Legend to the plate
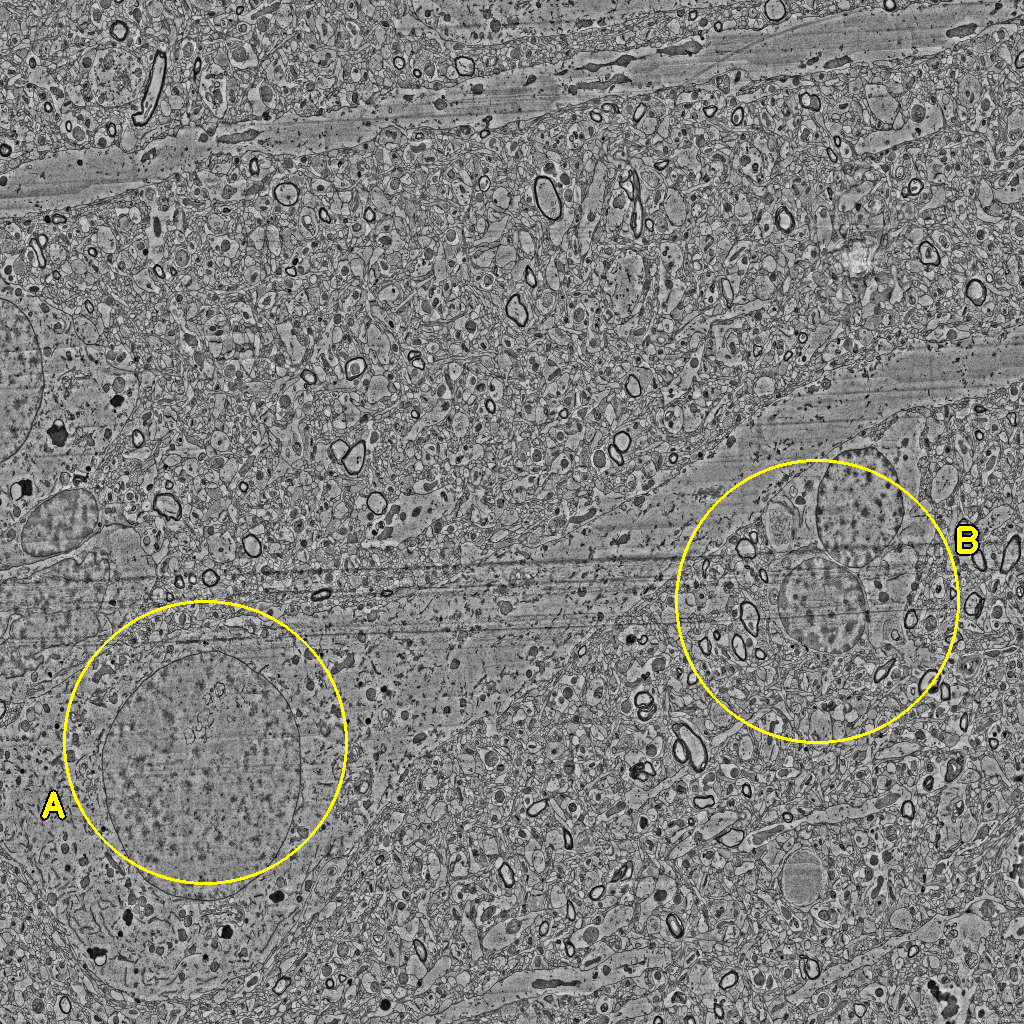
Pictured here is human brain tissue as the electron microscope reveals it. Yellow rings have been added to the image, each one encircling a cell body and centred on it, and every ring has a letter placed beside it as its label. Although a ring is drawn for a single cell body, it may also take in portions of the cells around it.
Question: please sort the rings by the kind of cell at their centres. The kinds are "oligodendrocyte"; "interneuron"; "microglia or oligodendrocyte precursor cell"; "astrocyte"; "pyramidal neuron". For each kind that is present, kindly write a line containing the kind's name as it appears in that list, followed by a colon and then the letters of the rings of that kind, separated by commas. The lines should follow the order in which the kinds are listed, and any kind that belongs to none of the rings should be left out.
oligodendrocyte: B
pyramidal neuron: A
